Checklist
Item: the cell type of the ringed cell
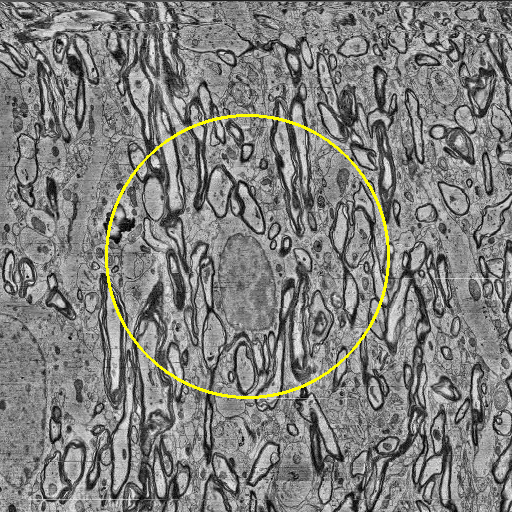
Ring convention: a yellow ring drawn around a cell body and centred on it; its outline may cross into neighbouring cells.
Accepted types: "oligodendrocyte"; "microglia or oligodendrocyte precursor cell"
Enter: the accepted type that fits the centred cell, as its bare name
oligodendrocyte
